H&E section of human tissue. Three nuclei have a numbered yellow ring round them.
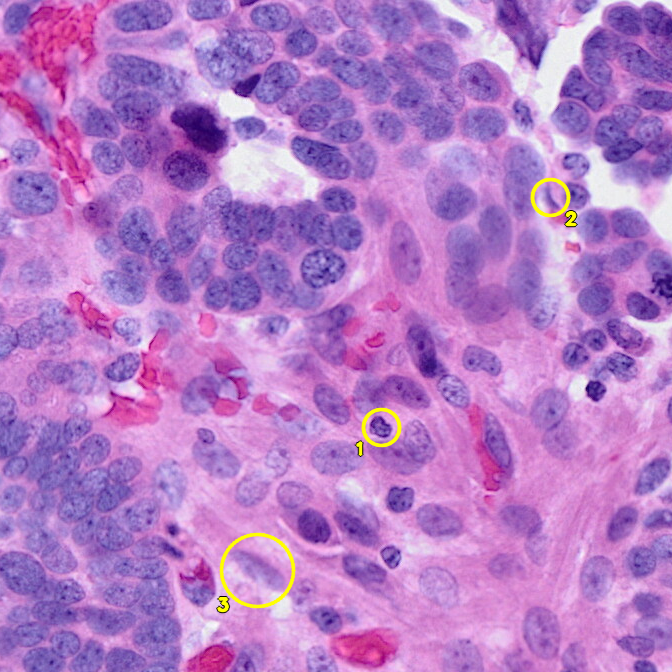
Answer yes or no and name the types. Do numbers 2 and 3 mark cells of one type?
No, cell 2 is a macrophage or monocyte, with cell 3 being a fibroblast.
